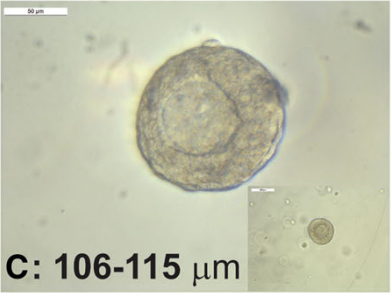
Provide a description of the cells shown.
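A large, round oocyte lies near the centre, with a smooth outline and a pale, finely granular cytoplasm. It is surrounded by several layers of small, tightly packed granular cells that form a thick cellular wall around it. The whole follicle is roughly spherical with a smooth outer boundary, and small bulges of cells project at its edge.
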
